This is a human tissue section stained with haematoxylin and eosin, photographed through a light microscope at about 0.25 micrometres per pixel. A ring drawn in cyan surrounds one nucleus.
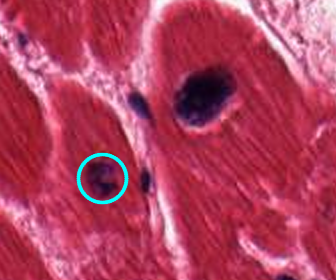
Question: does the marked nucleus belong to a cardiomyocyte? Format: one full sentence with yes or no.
Yes, the nucleus that carries the mark belongs to a cardiomyocyte.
